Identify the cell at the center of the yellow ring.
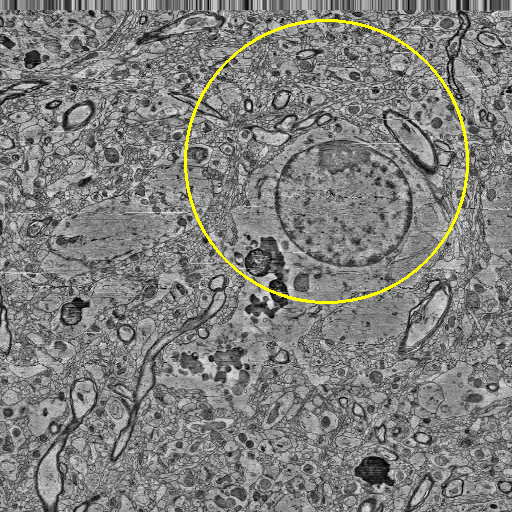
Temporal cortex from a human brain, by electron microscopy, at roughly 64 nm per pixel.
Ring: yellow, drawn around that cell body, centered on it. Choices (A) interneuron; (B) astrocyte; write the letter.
B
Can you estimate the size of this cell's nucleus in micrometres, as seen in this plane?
About 9 micrometers across, in this plane.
